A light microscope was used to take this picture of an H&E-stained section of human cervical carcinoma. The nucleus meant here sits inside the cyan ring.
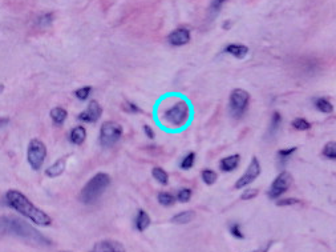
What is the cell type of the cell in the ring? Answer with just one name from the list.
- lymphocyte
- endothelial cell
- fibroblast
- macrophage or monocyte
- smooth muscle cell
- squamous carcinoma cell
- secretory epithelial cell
smooth muscle cell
